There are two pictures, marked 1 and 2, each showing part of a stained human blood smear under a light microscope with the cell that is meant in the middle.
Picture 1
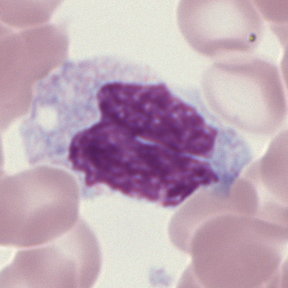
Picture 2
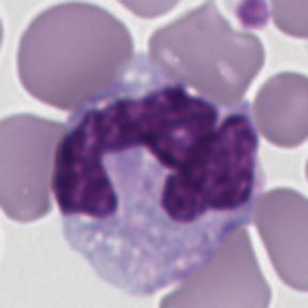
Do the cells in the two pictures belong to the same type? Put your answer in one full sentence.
Yes, both cells are monocytes.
